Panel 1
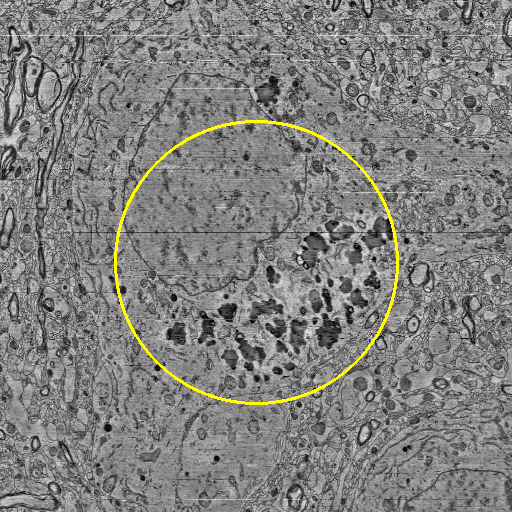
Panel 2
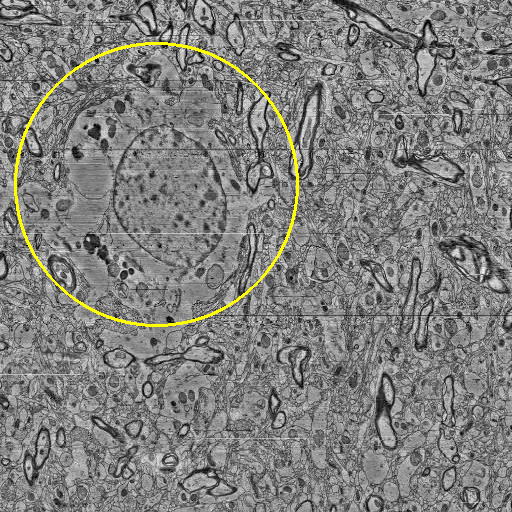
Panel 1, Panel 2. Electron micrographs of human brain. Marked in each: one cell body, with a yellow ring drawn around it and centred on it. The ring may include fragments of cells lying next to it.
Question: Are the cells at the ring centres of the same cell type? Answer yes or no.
no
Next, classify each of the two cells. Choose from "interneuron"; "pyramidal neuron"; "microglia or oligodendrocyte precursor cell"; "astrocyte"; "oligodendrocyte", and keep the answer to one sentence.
In the first picture it is a pyramidal neuron; in the second it is an astrocyte.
